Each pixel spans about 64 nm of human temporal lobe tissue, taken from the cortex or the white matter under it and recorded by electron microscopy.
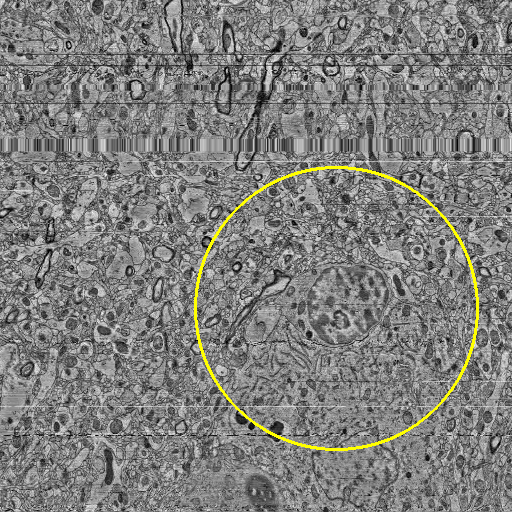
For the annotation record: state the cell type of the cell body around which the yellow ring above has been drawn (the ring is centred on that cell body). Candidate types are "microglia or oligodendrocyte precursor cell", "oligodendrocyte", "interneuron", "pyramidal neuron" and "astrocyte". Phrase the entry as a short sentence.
The ringed cell is an oligodendrocyte.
